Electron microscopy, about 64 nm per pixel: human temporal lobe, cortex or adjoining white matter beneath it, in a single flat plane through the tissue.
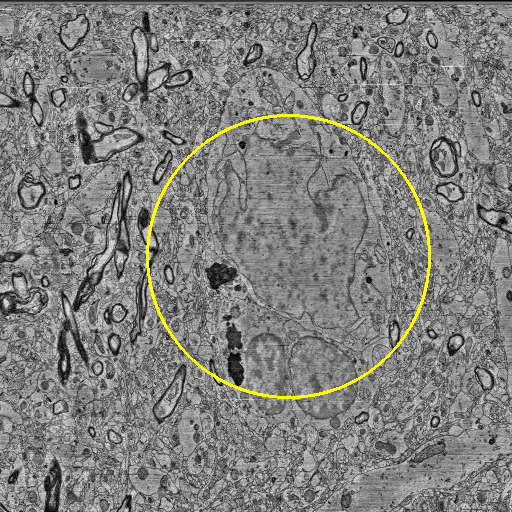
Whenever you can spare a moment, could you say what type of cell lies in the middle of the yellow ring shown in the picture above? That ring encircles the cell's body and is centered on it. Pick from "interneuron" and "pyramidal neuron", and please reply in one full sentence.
The cell whose body sits at the middle of the yellow ring is an interneuron.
